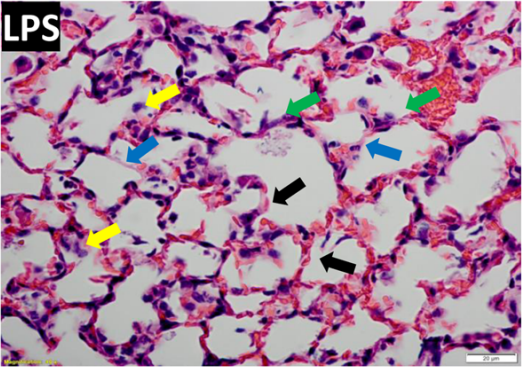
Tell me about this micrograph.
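Injured lung parenchyma in which the alveolar walls are widened and crowded with cells. The septa, pink with many dark purple nuclei, are thicker and more irregular than normal, and the air spaces between them are narrower and unevenly shaped. Small rounded cells with dark nuclei lie both within the walls and free in the alveolar spaces, consistent with neutrophils. Red blood cells are abundant in congested capillaries and in small patches, and some pale, faintly stained material lies in an air space.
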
